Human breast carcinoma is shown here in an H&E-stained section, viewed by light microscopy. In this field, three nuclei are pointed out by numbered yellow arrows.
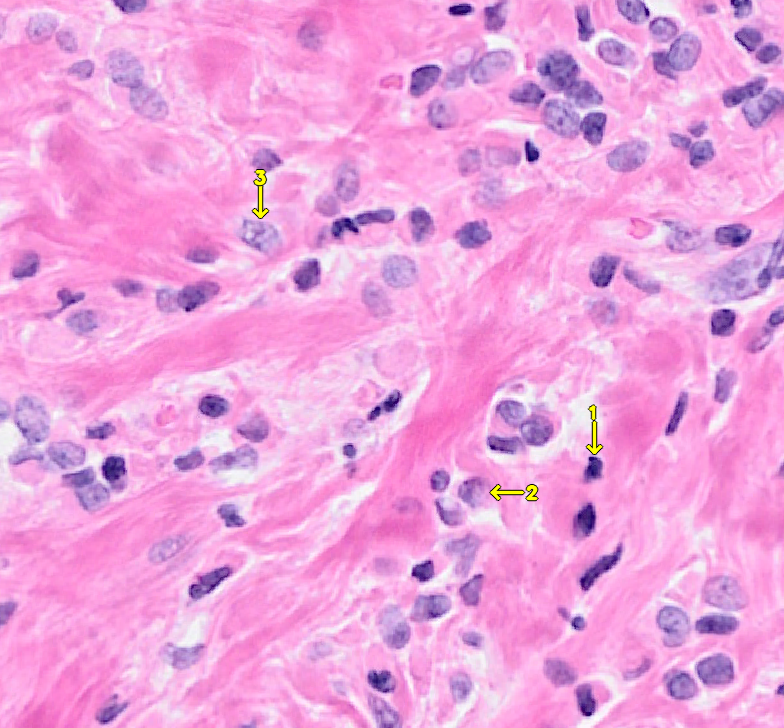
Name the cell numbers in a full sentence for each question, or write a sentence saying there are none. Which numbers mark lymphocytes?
Cell 1 is a lymphocyte, and it is the only numbered cell that is.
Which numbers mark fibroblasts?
Only the nucleus marked 3 is that of a fibroblast.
